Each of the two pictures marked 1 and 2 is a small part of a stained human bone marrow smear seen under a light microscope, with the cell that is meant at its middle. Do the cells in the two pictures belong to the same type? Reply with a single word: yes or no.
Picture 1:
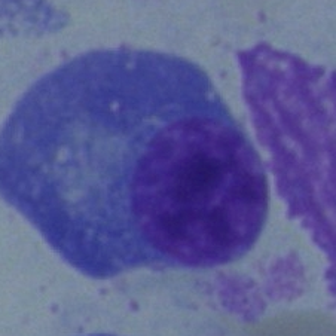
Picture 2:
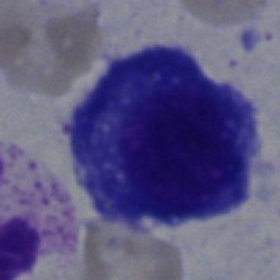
yes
